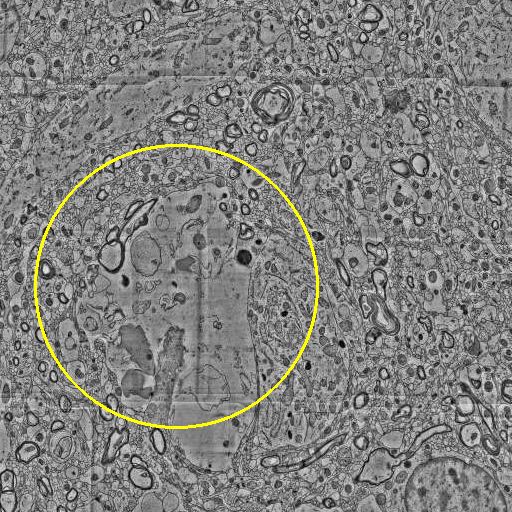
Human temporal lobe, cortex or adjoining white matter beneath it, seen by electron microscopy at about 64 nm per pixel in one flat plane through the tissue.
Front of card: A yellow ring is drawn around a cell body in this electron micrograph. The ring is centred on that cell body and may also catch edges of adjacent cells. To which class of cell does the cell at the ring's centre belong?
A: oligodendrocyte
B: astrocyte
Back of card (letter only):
B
